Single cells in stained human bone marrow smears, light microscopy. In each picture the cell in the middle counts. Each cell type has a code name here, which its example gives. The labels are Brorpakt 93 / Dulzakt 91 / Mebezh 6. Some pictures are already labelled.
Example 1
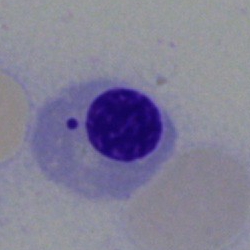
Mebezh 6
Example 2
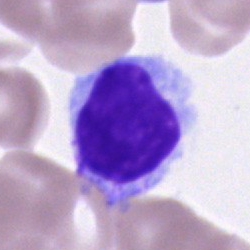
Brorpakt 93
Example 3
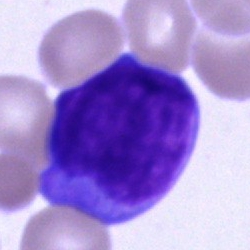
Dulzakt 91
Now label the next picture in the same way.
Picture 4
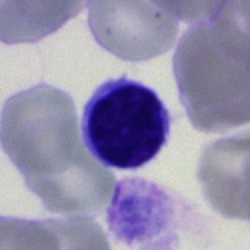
Brorpakt 93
